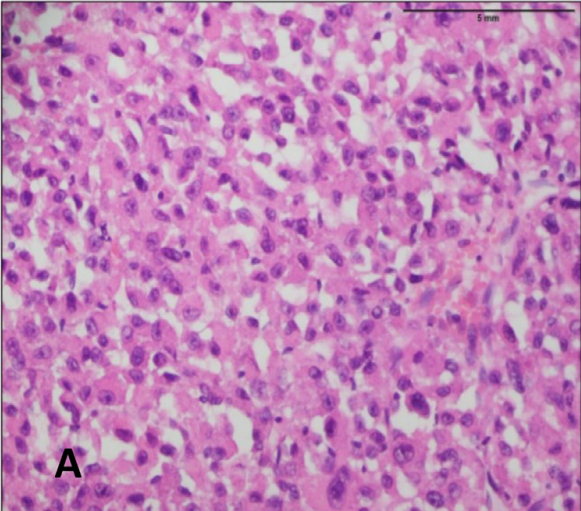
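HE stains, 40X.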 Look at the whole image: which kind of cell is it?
Neoplastic cells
